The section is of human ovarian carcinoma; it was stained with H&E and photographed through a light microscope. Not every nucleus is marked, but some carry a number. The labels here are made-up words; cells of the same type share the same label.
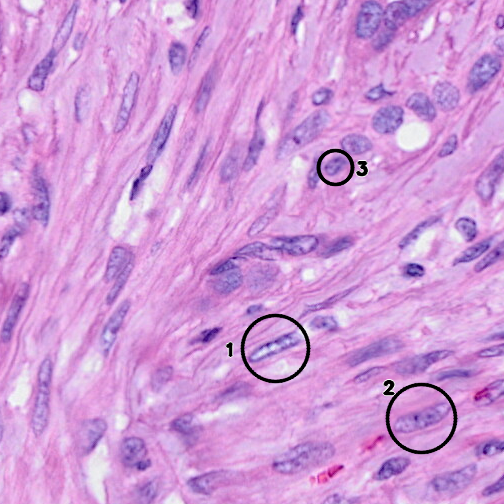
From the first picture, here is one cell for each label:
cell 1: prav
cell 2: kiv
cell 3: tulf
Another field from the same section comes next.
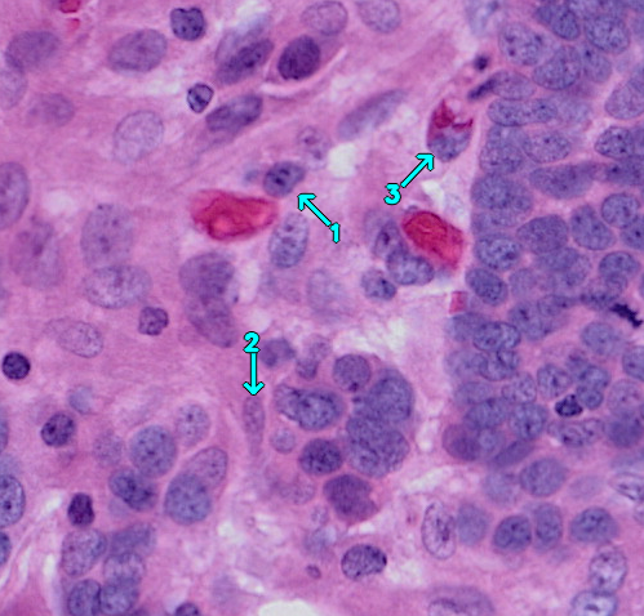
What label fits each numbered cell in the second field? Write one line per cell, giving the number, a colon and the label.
1: tulf
2: prav
3: kiv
